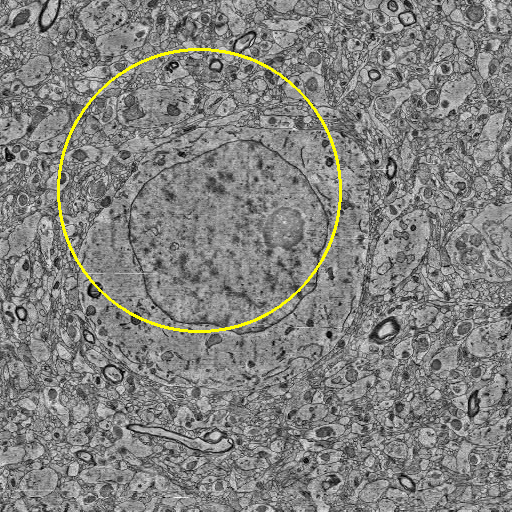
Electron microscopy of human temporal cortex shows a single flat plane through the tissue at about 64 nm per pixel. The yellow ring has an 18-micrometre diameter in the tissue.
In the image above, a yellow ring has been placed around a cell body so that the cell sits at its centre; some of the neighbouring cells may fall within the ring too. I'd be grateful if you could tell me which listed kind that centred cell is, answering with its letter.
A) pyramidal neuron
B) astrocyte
A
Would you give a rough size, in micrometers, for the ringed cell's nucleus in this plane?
In this plane, approximately 13 micrometres across.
